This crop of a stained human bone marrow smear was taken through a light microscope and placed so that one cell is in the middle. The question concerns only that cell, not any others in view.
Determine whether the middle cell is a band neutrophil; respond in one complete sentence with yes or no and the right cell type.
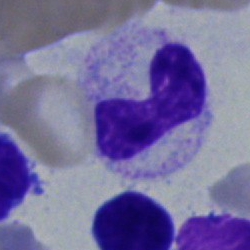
Yes, the cell at the centre of this crop is identified as a band neutrophil.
